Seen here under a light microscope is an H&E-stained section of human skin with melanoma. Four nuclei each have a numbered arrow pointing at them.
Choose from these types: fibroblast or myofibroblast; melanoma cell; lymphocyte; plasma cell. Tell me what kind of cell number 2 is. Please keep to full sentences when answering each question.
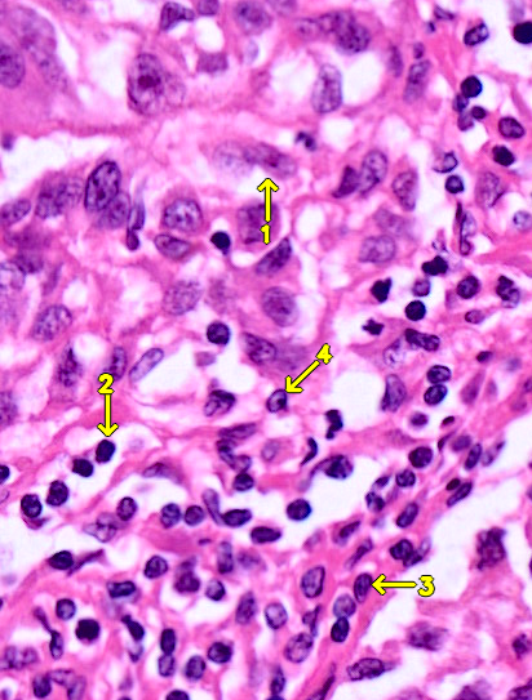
The cell tagged with 2 in this tissue section is a lymphocyte.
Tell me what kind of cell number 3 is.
The cell bearing label 3 corresponds to a lymphocyte.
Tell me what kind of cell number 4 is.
Belonging to a lymphocyte is the nucleus that carries the number 4.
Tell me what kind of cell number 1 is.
The label 1 in this section denotes a melanoma cell.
